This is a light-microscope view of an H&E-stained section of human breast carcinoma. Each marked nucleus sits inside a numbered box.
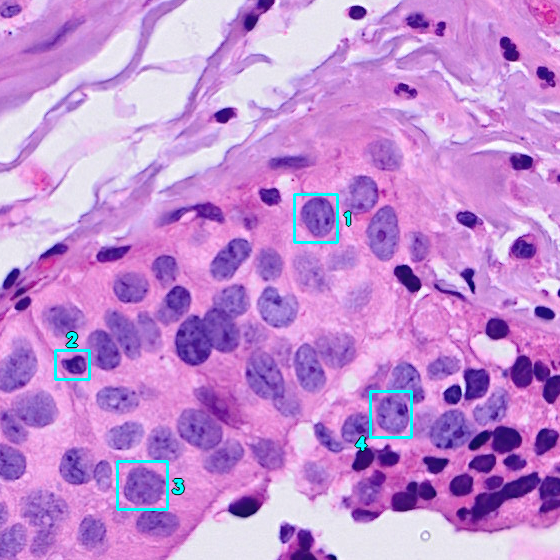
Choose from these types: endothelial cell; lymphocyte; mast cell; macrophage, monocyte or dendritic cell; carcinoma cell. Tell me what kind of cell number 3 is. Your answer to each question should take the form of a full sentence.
The identity of cell 3 is that of a carcinoma cell.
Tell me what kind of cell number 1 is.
At number 1, the marked cell is a carcinoma cell.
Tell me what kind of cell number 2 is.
Number 2 is placed on a lymphocyte here.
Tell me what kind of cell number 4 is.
Cell 4 should be recorded as a carcinoma cell.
